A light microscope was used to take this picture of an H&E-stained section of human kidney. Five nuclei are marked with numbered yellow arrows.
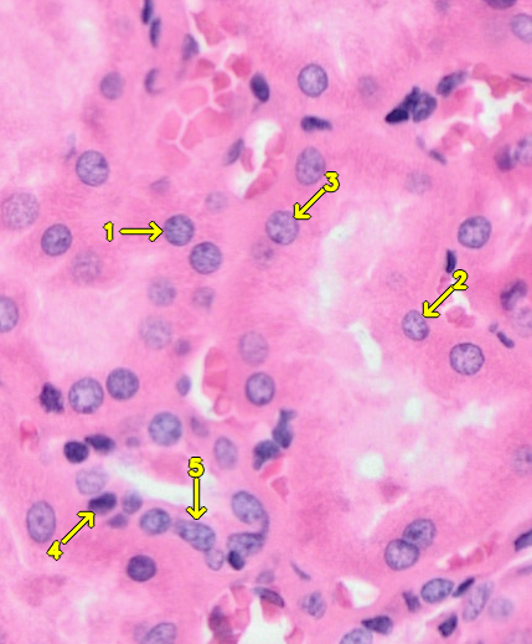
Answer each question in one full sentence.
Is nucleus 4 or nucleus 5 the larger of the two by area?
It is nucleus 5, which covers about 1.5 times the area of nucleus 4.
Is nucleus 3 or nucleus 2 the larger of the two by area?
It is nucleus 3, which covers about 1.5 times the area of nucleus 2.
